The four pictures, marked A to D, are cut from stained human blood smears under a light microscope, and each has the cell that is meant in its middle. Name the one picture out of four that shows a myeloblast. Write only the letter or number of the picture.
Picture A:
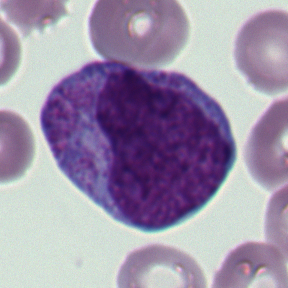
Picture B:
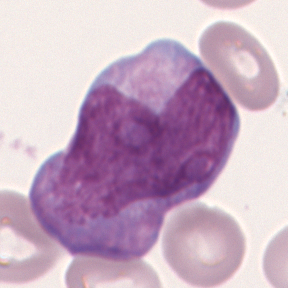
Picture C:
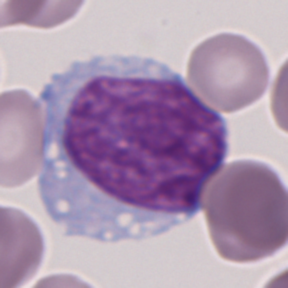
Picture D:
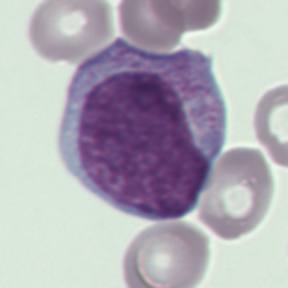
C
